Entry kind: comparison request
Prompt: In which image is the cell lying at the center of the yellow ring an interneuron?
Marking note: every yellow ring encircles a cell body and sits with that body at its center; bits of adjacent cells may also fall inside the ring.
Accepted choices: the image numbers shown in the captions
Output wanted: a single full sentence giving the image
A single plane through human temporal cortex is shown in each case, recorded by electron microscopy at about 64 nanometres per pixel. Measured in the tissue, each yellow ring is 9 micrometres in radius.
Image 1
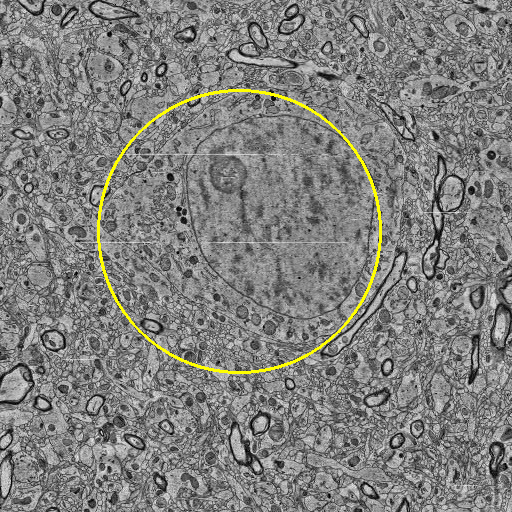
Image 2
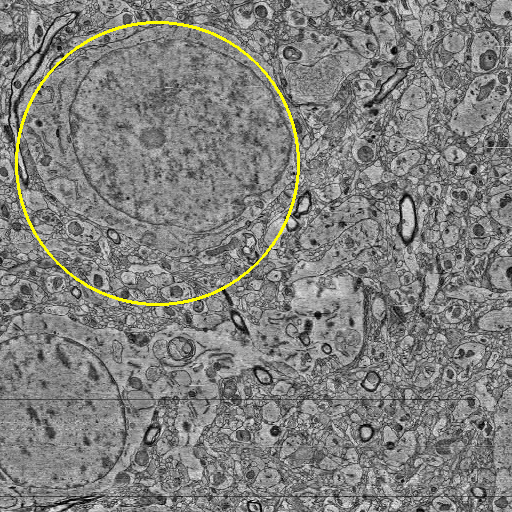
In image 2, the ringed cell at the center matches the prompt.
